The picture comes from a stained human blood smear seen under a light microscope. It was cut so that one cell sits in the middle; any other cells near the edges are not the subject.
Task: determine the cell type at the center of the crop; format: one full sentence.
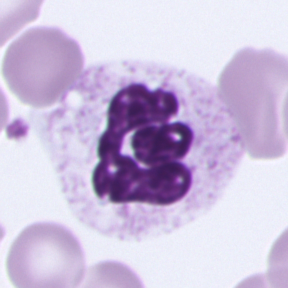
As for the cell in the middle, it is a segmented neutrophil.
